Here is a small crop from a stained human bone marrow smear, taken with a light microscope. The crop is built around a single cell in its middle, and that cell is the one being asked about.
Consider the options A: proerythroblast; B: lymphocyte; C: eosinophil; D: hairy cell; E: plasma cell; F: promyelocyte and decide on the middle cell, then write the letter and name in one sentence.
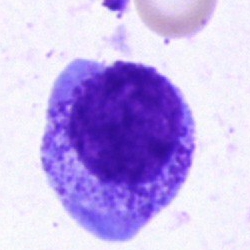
The cell in the centre of the crop is a promyelocyte, so option F is the correct one.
